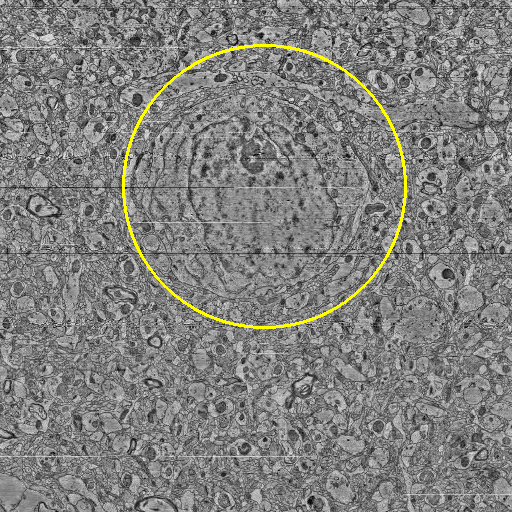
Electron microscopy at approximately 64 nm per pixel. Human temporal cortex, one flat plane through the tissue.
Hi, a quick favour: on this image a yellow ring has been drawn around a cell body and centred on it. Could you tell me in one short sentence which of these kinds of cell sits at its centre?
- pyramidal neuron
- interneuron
The ring is centred on an interneuron.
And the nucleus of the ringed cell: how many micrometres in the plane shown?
Approximately 11 x 9 micrometres in this plane.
